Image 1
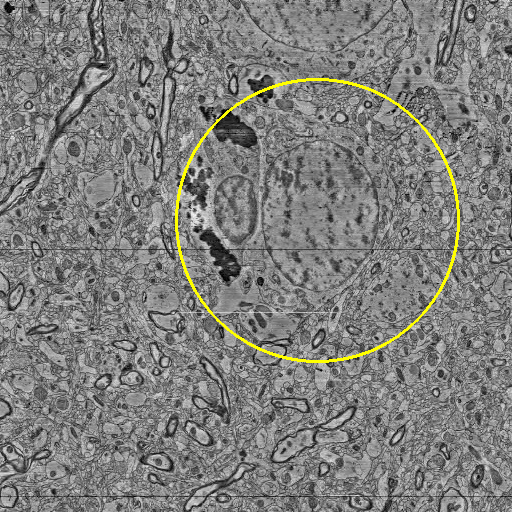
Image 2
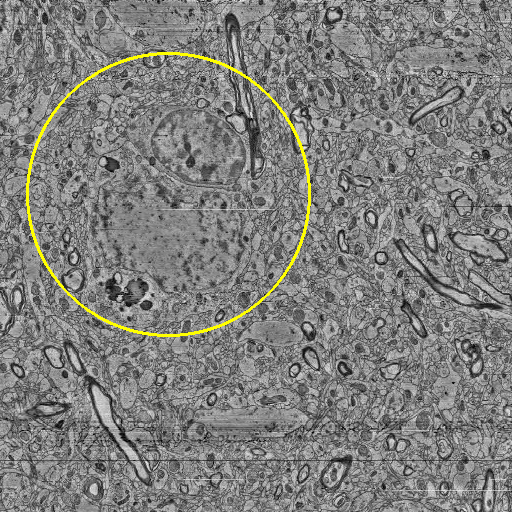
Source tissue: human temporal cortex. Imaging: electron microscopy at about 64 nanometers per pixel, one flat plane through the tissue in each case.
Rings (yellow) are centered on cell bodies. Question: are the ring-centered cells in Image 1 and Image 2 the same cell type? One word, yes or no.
yes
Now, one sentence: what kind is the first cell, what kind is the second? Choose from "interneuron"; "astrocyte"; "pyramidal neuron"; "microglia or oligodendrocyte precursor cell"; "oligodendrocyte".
In both pictures the ring is centred on an interneuron.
